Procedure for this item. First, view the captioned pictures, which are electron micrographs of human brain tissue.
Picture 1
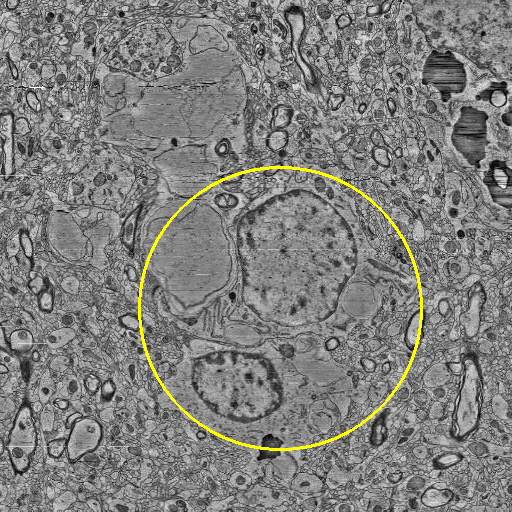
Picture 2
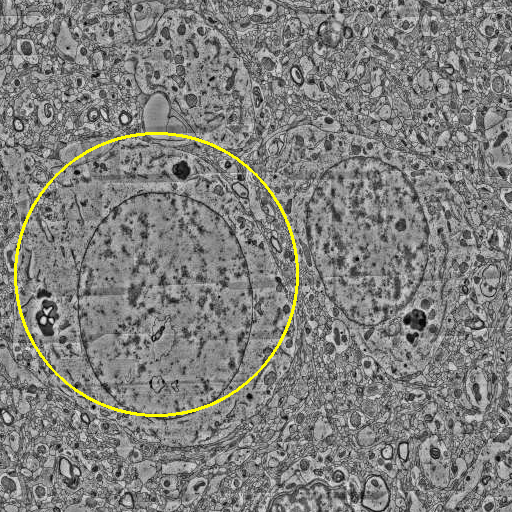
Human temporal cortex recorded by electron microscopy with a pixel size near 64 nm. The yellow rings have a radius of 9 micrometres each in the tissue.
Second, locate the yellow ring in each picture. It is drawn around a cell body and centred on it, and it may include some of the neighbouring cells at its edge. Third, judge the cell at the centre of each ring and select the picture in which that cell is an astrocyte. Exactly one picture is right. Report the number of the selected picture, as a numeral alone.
1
